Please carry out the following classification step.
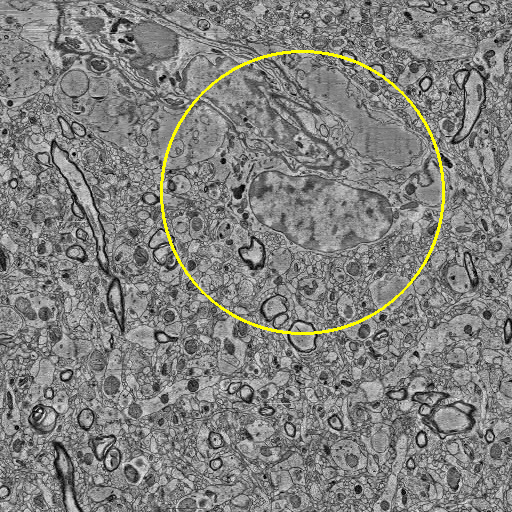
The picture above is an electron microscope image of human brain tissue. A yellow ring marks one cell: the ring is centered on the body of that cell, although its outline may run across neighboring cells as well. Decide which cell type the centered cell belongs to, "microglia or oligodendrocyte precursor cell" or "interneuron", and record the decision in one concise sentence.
The cell centered in the yellow ring is a microglial cell or oligodendrocyte precursor cell.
